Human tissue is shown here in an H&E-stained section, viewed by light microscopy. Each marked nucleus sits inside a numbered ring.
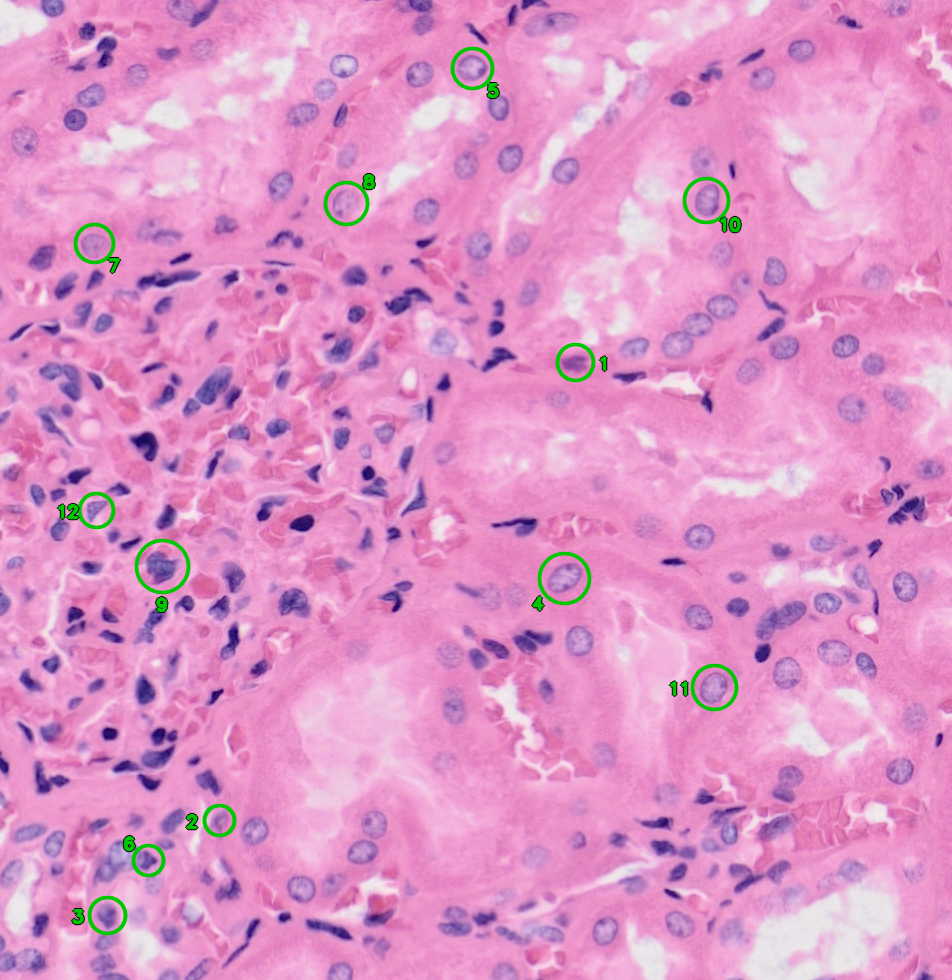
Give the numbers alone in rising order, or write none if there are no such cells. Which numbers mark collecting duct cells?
2, 3, 6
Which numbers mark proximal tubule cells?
1, 4, 5, 7, 8, 10, 11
